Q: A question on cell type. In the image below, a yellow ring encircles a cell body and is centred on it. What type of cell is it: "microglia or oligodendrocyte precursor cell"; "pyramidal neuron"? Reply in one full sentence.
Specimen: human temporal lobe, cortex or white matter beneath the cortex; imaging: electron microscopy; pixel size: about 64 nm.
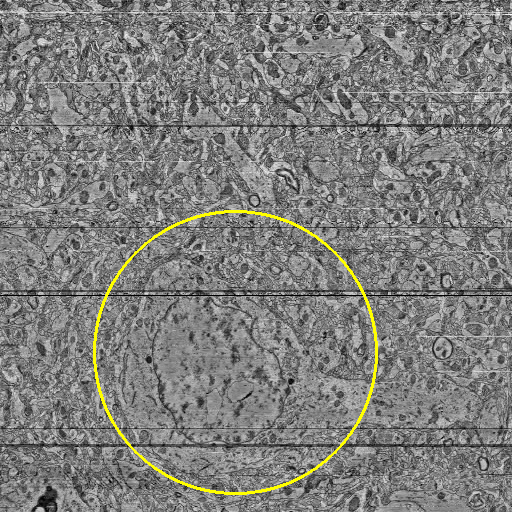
It is a pyramidal neuron whose cell body sits at the centre of the yellow ring in the image.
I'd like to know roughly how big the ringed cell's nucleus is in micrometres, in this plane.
Roughly 10 by 9 micrometres is the size of the nucleus in this plane.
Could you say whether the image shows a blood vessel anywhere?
No, a blood vessel is absent from this picture.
